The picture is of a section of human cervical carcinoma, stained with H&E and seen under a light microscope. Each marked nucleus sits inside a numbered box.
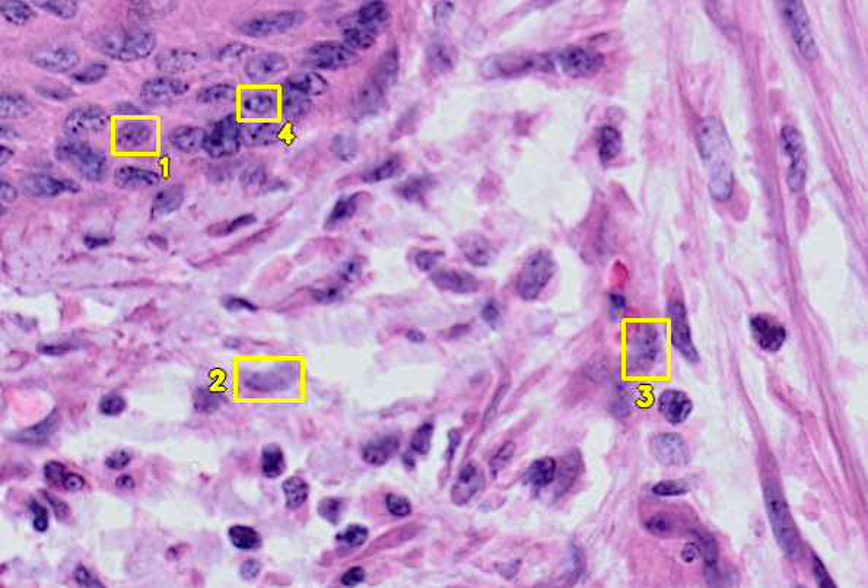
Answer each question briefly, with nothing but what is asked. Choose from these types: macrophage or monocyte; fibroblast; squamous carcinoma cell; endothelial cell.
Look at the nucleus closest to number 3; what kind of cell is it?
macrophage or monocyte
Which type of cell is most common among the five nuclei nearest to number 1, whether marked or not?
squamous carcinoma cell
